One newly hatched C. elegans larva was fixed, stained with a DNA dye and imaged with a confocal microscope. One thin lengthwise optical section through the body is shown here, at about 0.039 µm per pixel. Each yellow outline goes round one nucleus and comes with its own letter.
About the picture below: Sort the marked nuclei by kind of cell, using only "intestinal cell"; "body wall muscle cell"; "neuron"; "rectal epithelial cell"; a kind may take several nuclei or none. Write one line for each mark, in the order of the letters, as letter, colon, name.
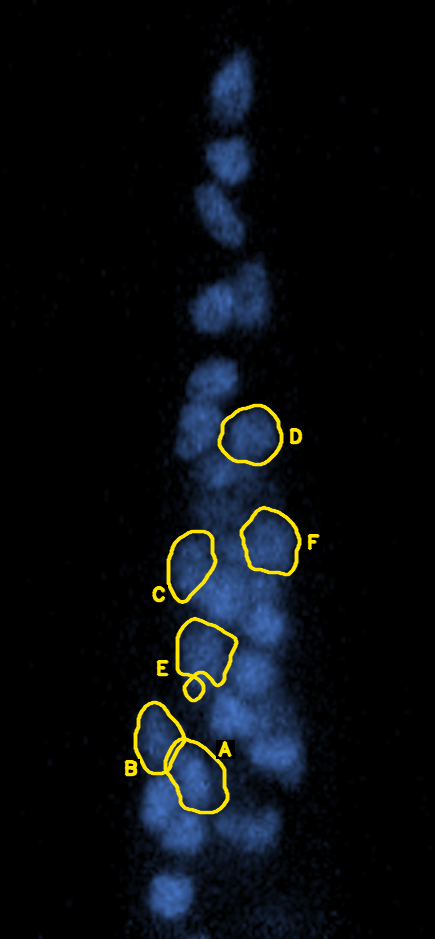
A: rectal epithelial cell
B: rectal epithelial cell
C: body wall muscle cell
D: neuron
E: rectal epithelial cell
F: body wall muscle cell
